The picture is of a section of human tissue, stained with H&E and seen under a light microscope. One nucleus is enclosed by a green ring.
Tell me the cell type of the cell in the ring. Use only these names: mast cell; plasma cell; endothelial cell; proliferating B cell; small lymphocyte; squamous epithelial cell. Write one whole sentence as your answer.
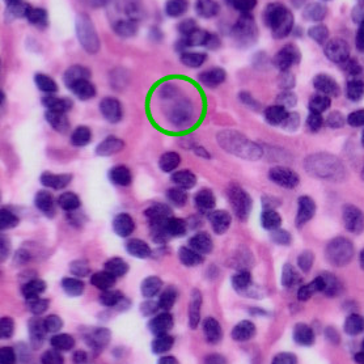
In the context of this tissue, the cell in the ring is an endothelial cell.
